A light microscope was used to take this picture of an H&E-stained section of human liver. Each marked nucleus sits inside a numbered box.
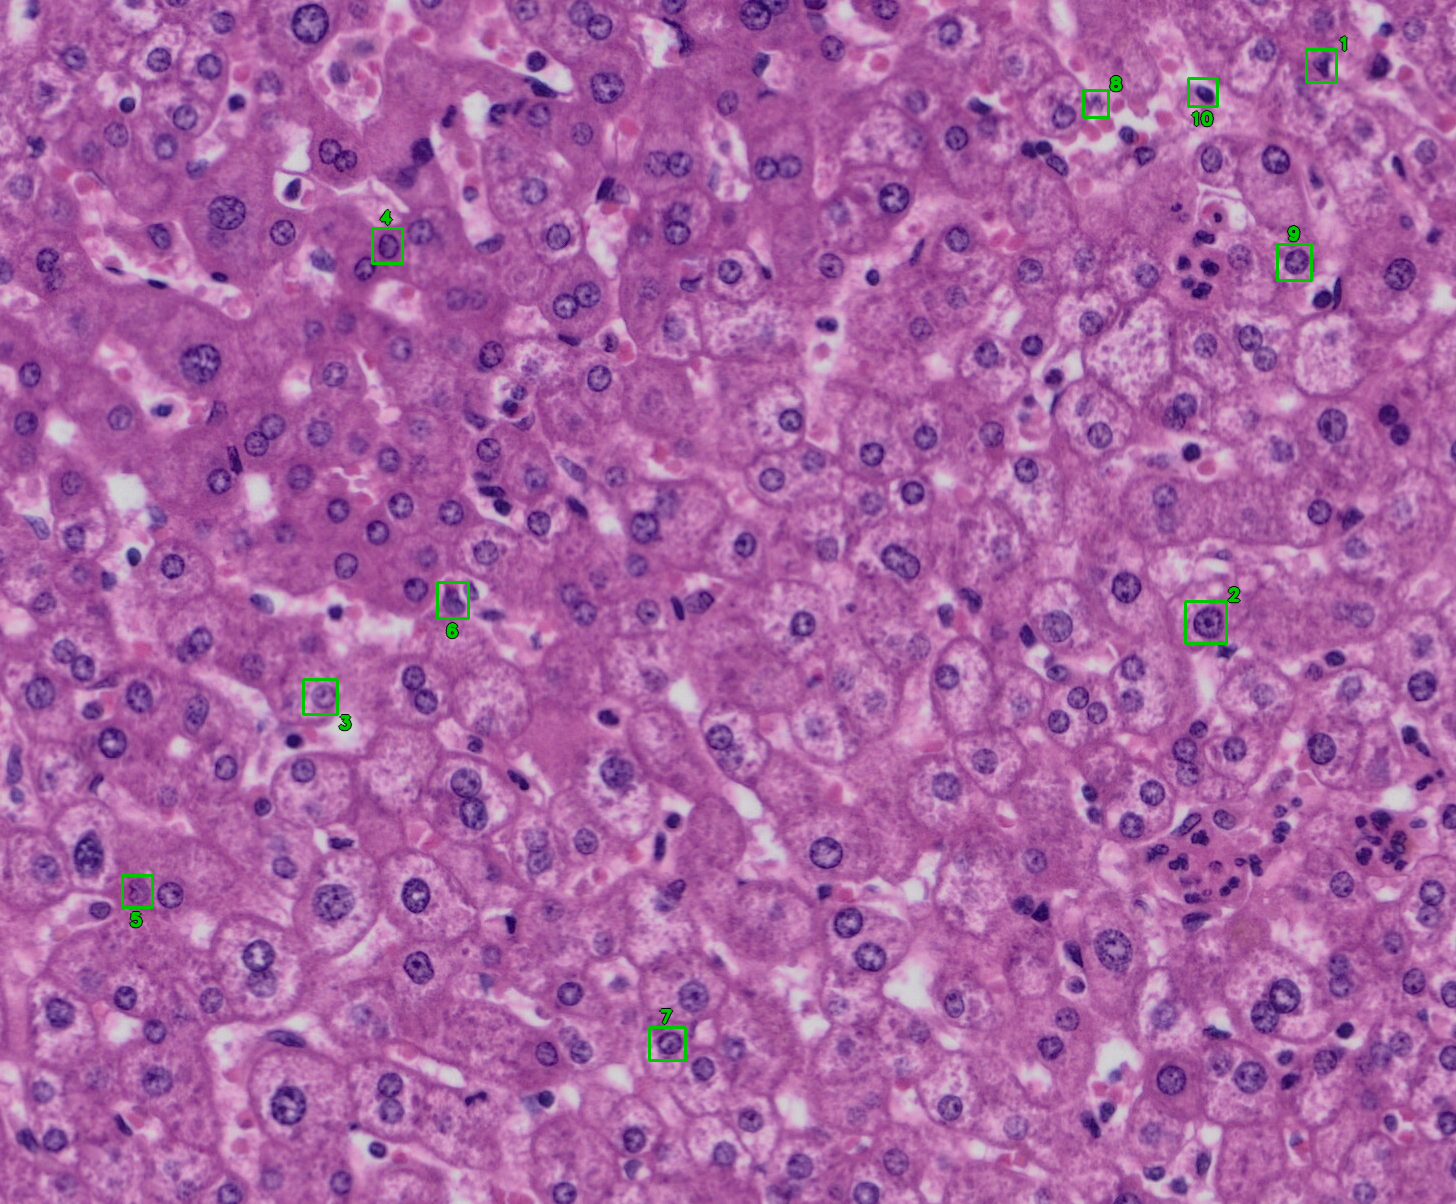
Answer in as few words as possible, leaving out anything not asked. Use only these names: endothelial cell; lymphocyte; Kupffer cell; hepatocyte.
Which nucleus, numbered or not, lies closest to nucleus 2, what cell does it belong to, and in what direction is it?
an endothelial cell below and to the right of nucleus 2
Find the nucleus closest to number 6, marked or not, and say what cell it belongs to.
lymphocyte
